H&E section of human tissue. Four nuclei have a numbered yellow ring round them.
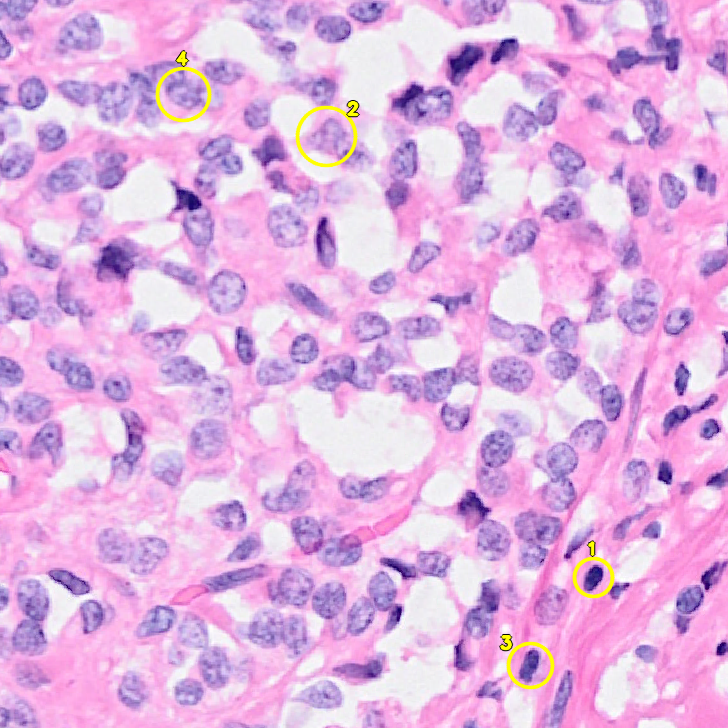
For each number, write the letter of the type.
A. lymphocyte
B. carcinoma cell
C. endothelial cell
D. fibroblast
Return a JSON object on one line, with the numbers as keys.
{"1": "A", "2": "B", "3": "A", "4": "B"}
